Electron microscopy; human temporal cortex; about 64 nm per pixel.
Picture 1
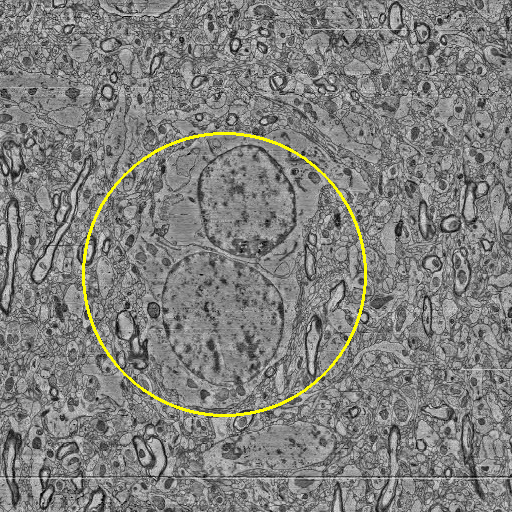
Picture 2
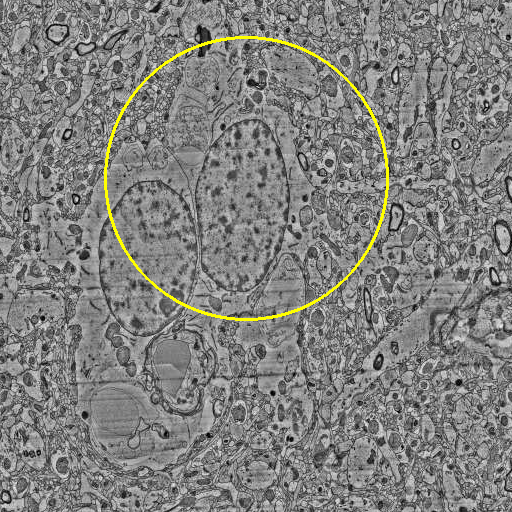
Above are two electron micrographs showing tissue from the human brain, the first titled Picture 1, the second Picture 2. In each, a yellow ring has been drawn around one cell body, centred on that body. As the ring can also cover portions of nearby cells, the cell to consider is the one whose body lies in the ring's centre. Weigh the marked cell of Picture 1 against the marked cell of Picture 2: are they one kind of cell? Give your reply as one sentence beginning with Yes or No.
Yes, the two cells sitting at the ring centres in the pictures are of one kind.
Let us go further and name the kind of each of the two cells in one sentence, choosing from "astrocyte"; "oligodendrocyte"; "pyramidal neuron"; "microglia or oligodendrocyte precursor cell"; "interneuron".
Both pictures show an astrocyte at the centre of the ring.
